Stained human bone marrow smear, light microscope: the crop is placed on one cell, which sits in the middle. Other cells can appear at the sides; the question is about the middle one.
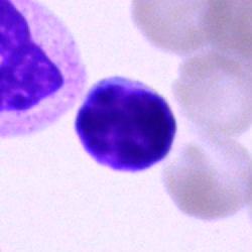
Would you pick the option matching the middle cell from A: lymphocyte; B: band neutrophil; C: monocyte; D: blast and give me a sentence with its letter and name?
Option A is accurate; the centrally placed cell is a lymphocyte.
